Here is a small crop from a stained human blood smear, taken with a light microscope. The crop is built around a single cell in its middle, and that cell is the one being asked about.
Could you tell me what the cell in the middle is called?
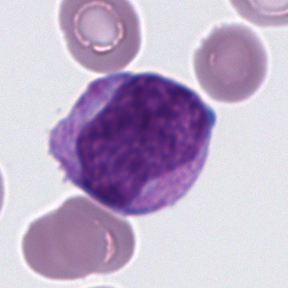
atypical promyelocyte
